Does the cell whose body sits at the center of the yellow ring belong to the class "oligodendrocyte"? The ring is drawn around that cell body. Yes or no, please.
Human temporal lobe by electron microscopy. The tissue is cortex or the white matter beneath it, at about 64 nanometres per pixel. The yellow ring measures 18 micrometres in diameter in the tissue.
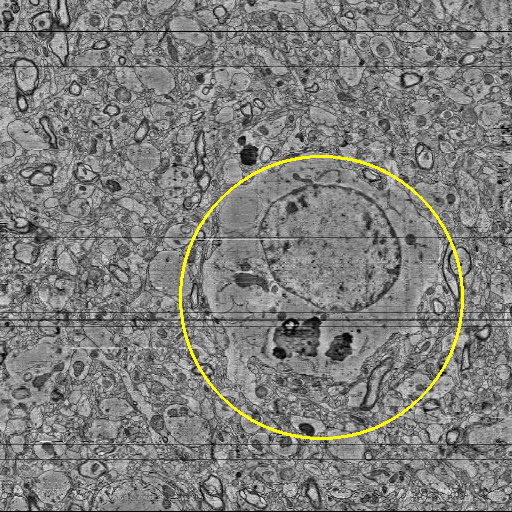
No, it belongs to another class.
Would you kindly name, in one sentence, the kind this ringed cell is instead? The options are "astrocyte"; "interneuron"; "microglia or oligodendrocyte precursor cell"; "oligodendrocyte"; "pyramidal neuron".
Instead, the ring surrounds an astrocyte in this picture.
